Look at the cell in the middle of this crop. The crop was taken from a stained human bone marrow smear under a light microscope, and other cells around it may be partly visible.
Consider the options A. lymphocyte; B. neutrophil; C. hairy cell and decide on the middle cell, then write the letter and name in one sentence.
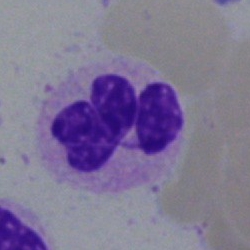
The correct choice is option B, which identifies the middle cell as a neutrophil.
